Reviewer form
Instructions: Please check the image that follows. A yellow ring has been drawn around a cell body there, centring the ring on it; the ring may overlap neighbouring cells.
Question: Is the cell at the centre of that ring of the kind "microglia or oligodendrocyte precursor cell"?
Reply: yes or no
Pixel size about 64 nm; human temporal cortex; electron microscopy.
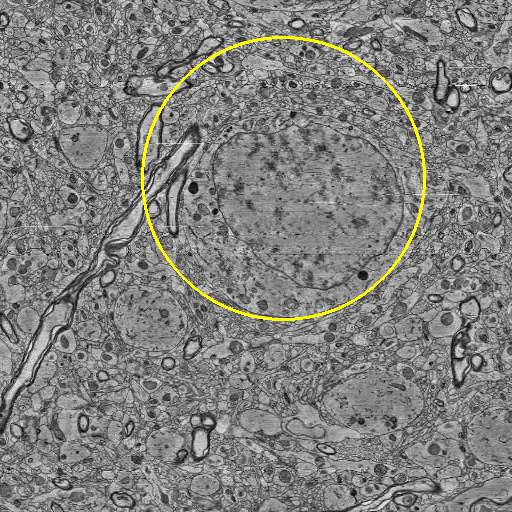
no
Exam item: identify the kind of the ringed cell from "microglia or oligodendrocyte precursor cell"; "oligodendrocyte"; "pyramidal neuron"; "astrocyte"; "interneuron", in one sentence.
In this picture, the ring is centred on a pyramidal neuron.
